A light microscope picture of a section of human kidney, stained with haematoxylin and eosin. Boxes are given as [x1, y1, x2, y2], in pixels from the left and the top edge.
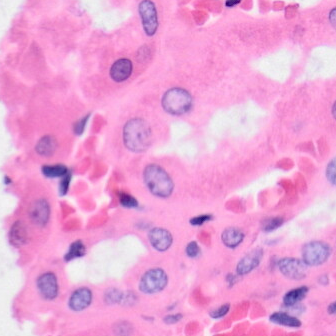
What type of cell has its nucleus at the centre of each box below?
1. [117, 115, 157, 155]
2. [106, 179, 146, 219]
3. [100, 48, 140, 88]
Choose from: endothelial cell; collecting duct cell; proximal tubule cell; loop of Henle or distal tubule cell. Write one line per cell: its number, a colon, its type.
1: proximal tubule cell
2: endothelial cell
3: proximal tubule cell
